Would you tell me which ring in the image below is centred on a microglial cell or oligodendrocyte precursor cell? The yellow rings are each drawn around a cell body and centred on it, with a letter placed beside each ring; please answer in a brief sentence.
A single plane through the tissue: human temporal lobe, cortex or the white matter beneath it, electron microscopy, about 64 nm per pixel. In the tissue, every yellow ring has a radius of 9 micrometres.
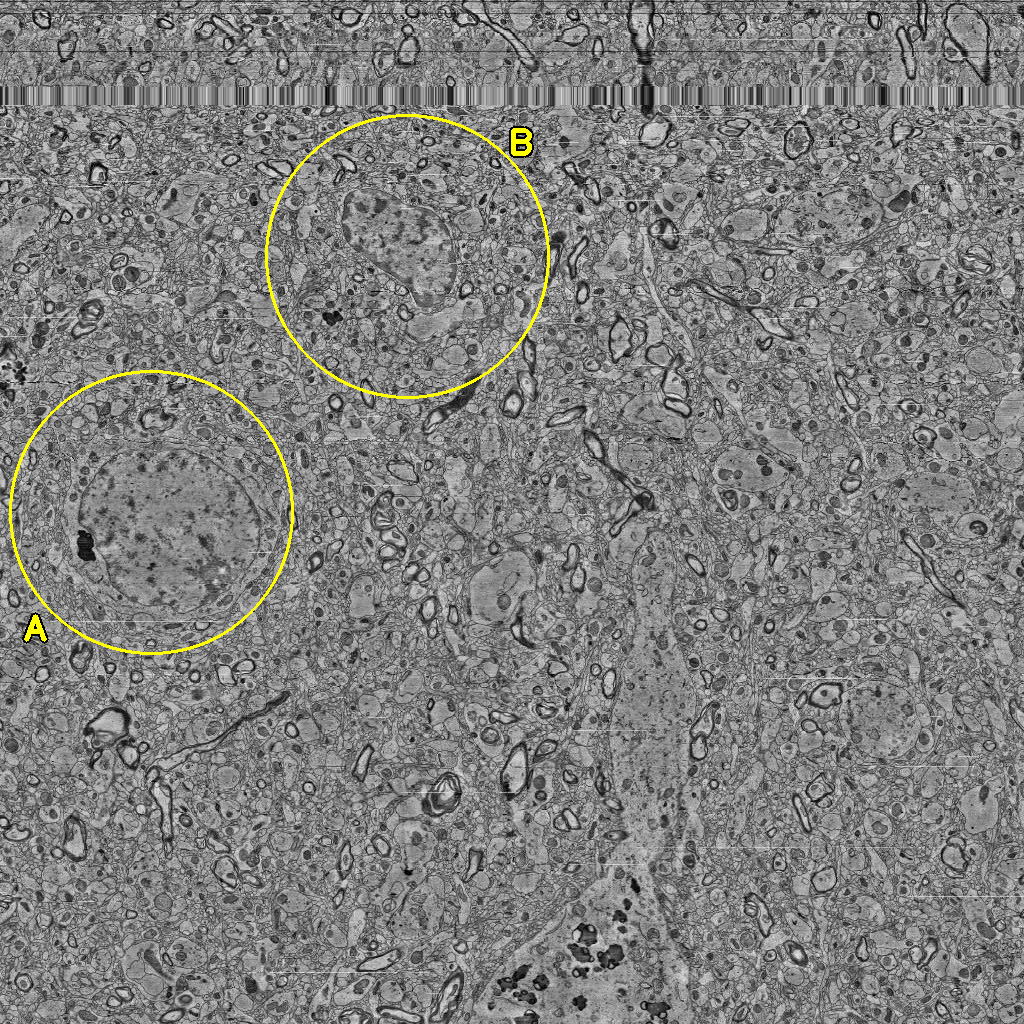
Ring B is centred on it.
